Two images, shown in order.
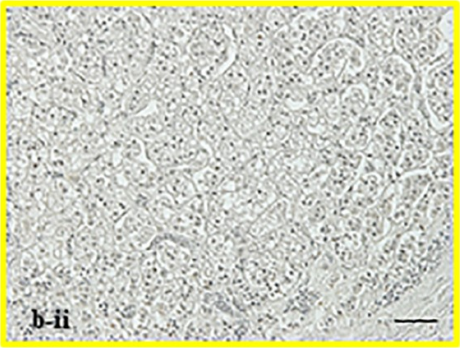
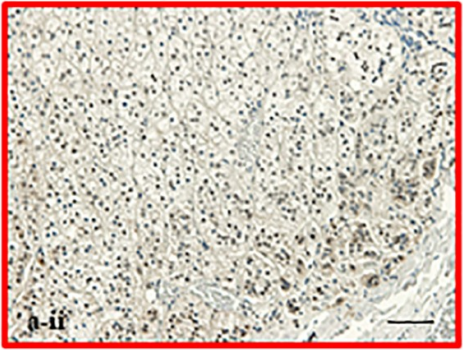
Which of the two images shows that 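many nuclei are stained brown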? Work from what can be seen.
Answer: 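Second image: many nuclei, especially at the lower right, are dark brown over a faintly brown cytoplasm.
Answer: the second image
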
